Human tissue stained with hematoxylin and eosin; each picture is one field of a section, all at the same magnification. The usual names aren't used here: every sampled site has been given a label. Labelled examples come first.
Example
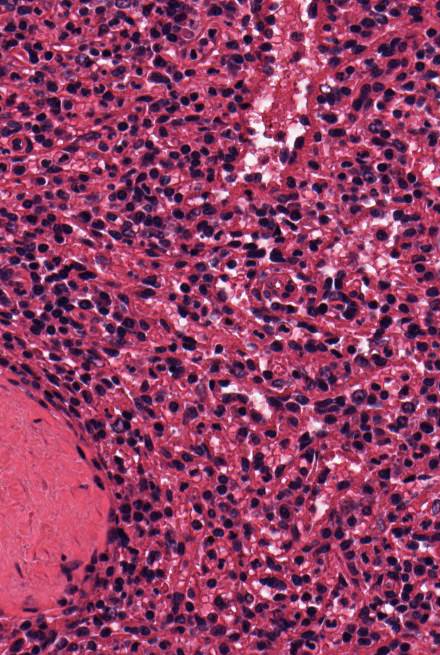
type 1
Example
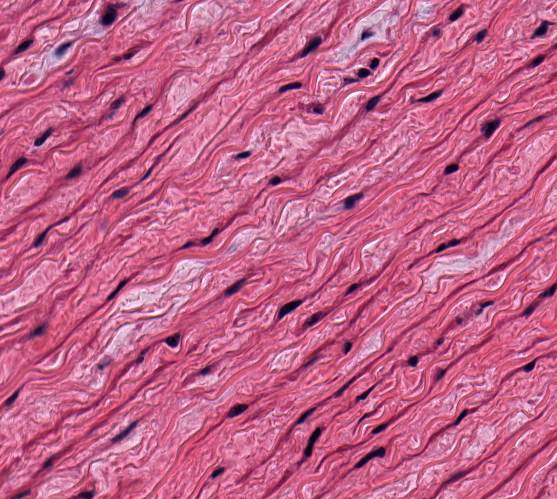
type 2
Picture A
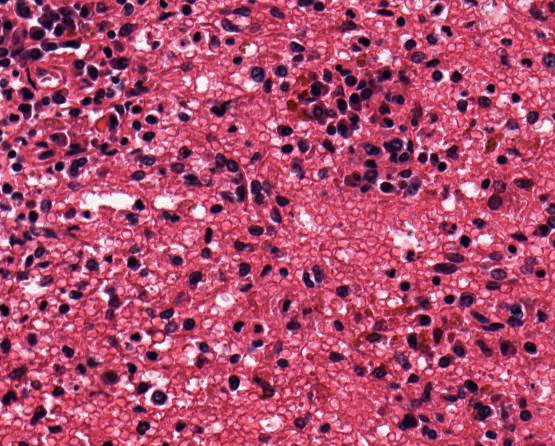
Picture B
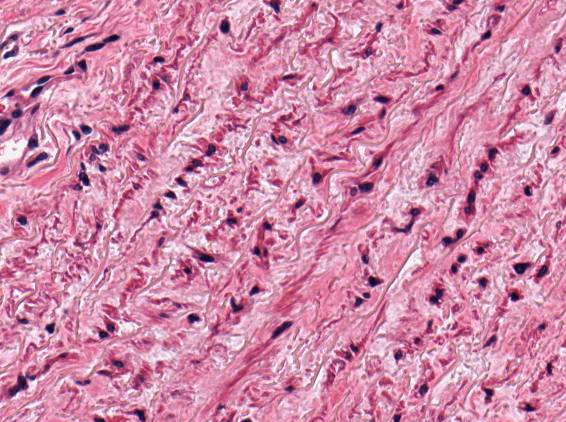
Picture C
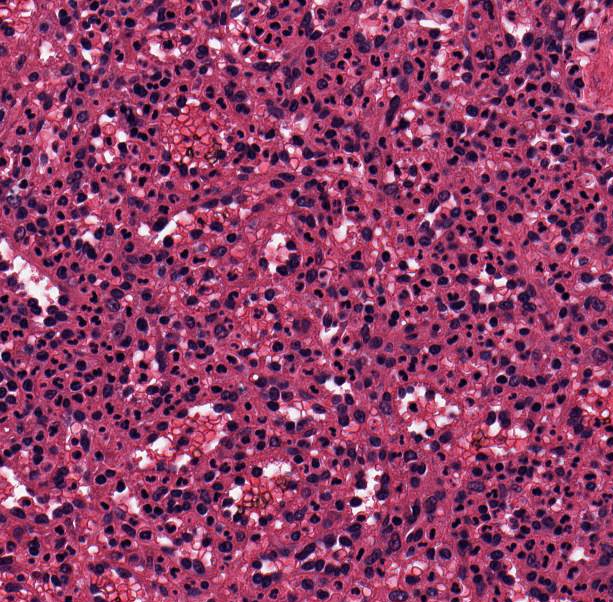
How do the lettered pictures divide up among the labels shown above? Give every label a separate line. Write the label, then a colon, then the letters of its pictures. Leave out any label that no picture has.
type 1: A, C
type 2: B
